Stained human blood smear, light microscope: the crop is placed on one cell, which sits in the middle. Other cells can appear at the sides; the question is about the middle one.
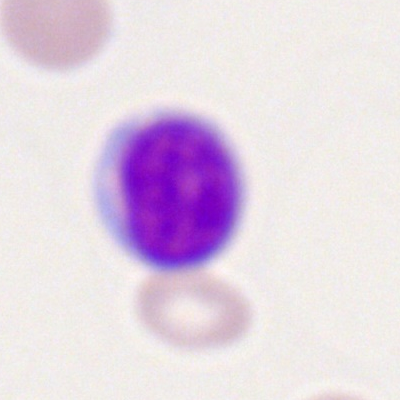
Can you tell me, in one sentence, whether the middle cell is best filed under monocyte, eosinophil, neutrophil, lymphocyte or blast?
Positioned in the middle of the crop is a lymphocyte.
